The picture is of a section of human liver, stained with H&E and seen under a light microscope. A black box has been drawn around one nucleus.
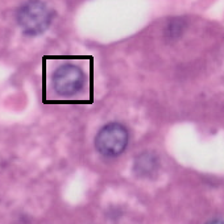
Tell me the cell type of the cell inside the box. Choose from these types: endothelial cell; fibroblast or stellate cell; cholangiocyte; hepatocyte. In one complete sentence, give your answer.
So far as cell type goes, the cell inside the box is a hepatocyte.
